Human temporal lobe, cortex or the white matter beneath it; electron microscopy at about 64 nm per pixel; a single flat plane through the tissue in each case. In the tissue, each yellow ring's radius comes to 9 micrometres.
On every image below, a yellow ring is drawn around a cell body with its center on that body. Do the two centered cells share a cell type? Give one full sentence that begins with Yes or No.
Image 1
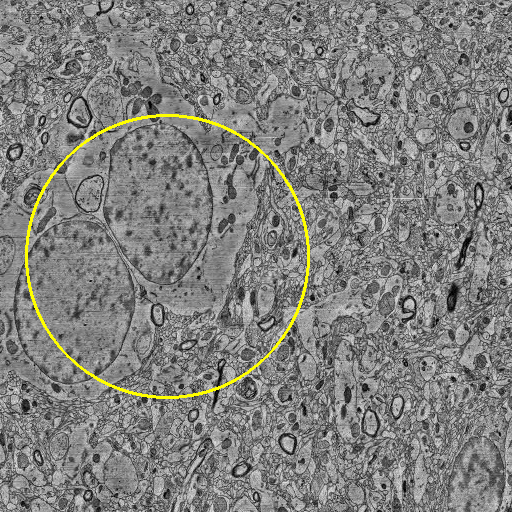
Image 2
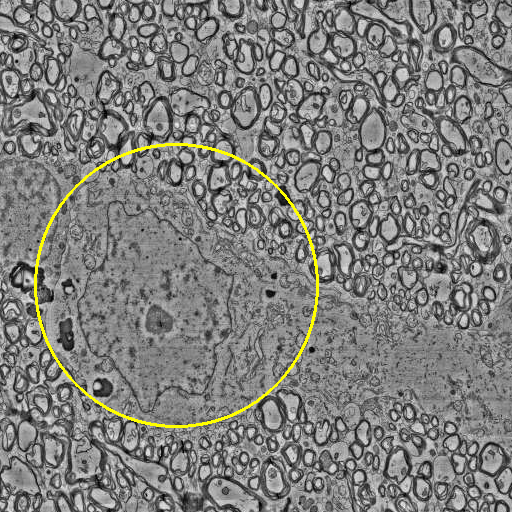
No, the centered cells in the two images are of two separate cell types.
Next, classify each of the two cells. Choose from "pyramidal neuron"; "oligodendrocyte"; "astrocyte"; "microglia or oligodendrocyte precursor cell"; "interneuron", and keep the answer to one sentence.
In the first picture it is an astrocyte; in the second it is a pyramidal neuron.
